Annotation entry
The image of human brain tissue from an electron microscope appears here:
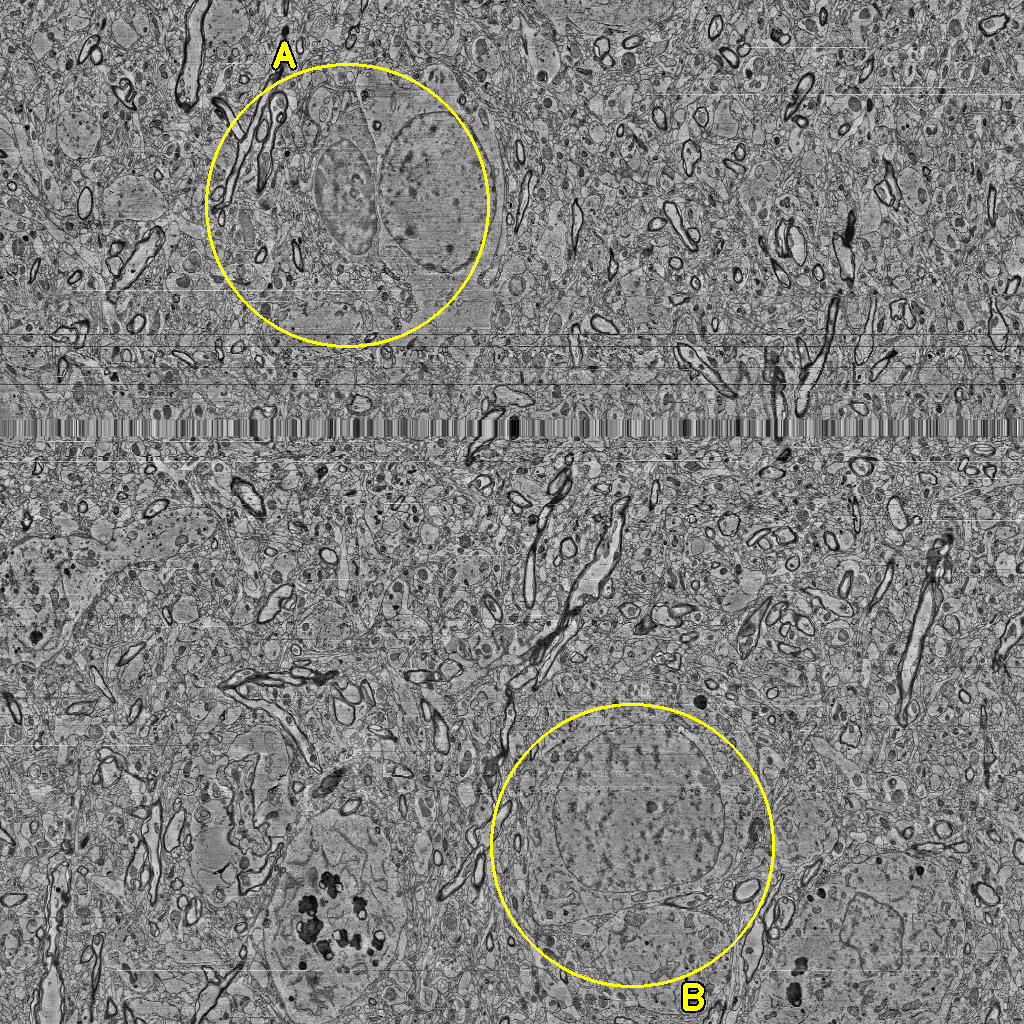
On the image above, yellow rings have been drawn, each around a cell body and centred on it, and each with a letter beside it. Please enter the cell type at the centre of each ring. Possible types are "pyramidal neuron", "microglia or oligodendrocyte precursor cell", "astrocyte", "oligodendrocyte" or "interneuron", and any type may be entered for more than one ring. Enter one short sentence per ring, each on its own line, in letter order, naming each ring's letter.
The cell that ring A is centred on is an oligodendrocyte.
The cell that ring B is centred on is a pyramidal neuron.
